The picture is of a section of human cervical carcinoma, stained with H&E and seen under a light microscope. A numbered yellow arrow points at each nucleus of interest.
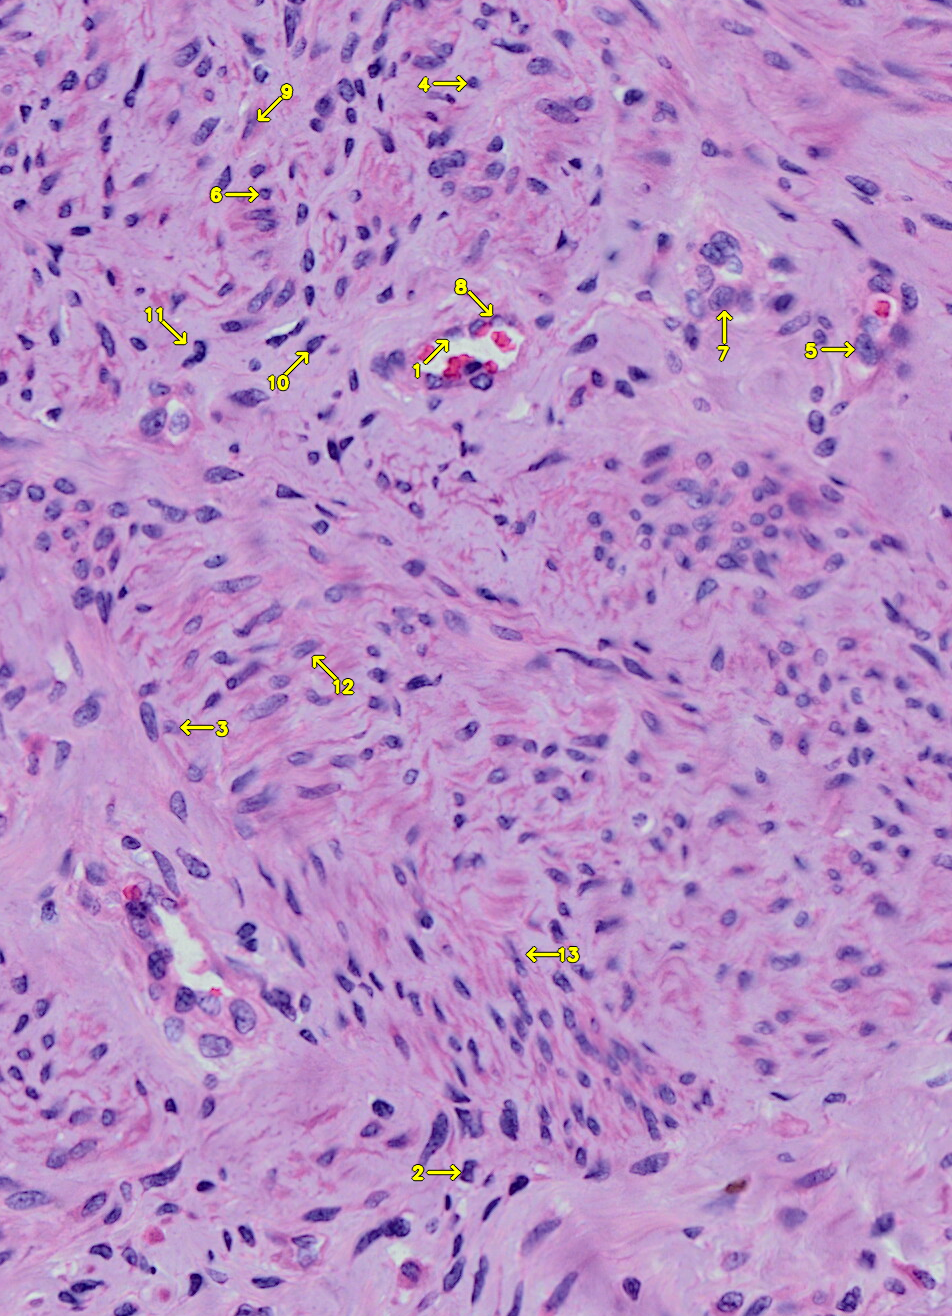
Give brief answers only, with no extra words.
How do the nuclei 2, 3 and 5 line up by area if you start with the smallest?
3, 2, 5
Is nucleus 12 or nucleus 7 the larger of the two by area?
7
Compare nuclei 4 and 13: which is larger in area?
13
